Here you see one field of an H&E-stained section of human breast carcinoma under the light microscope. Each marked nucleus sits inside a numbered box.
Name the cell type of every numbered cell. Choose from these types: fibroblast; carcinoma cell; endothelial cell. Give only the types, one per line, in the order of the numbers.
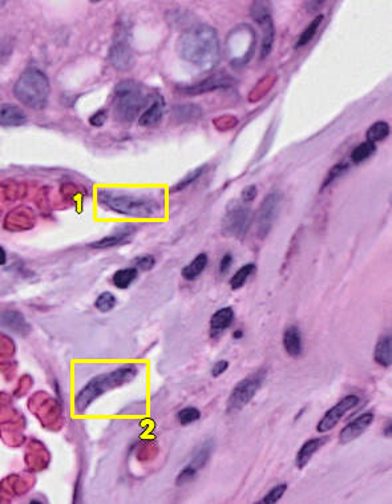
endothelial cell
fibroblast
